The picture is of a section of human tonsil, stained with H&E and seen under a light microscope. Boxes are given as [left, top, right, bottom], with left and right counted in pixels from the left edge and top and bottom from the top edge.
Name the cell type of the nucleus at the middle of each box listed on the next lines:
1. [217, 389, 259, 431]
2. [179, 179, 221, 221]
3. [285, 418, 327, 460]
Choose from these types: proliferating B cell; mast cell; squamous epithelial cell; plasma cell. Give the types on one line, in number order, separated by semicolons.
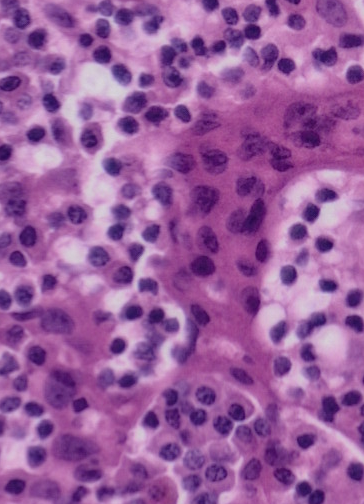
plasma cell; squamous epithelial cell; plasma cell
